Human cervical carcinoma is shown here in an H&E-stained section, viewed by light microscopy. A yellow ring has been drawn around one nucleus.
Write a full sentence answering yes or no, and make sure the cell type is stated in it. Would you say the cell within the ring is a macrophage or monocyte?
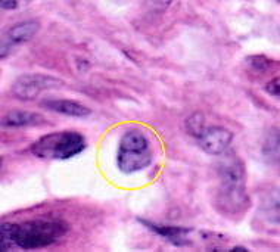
Yes, when classified by type, the cell within the ring is a macrophage or monocyte.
